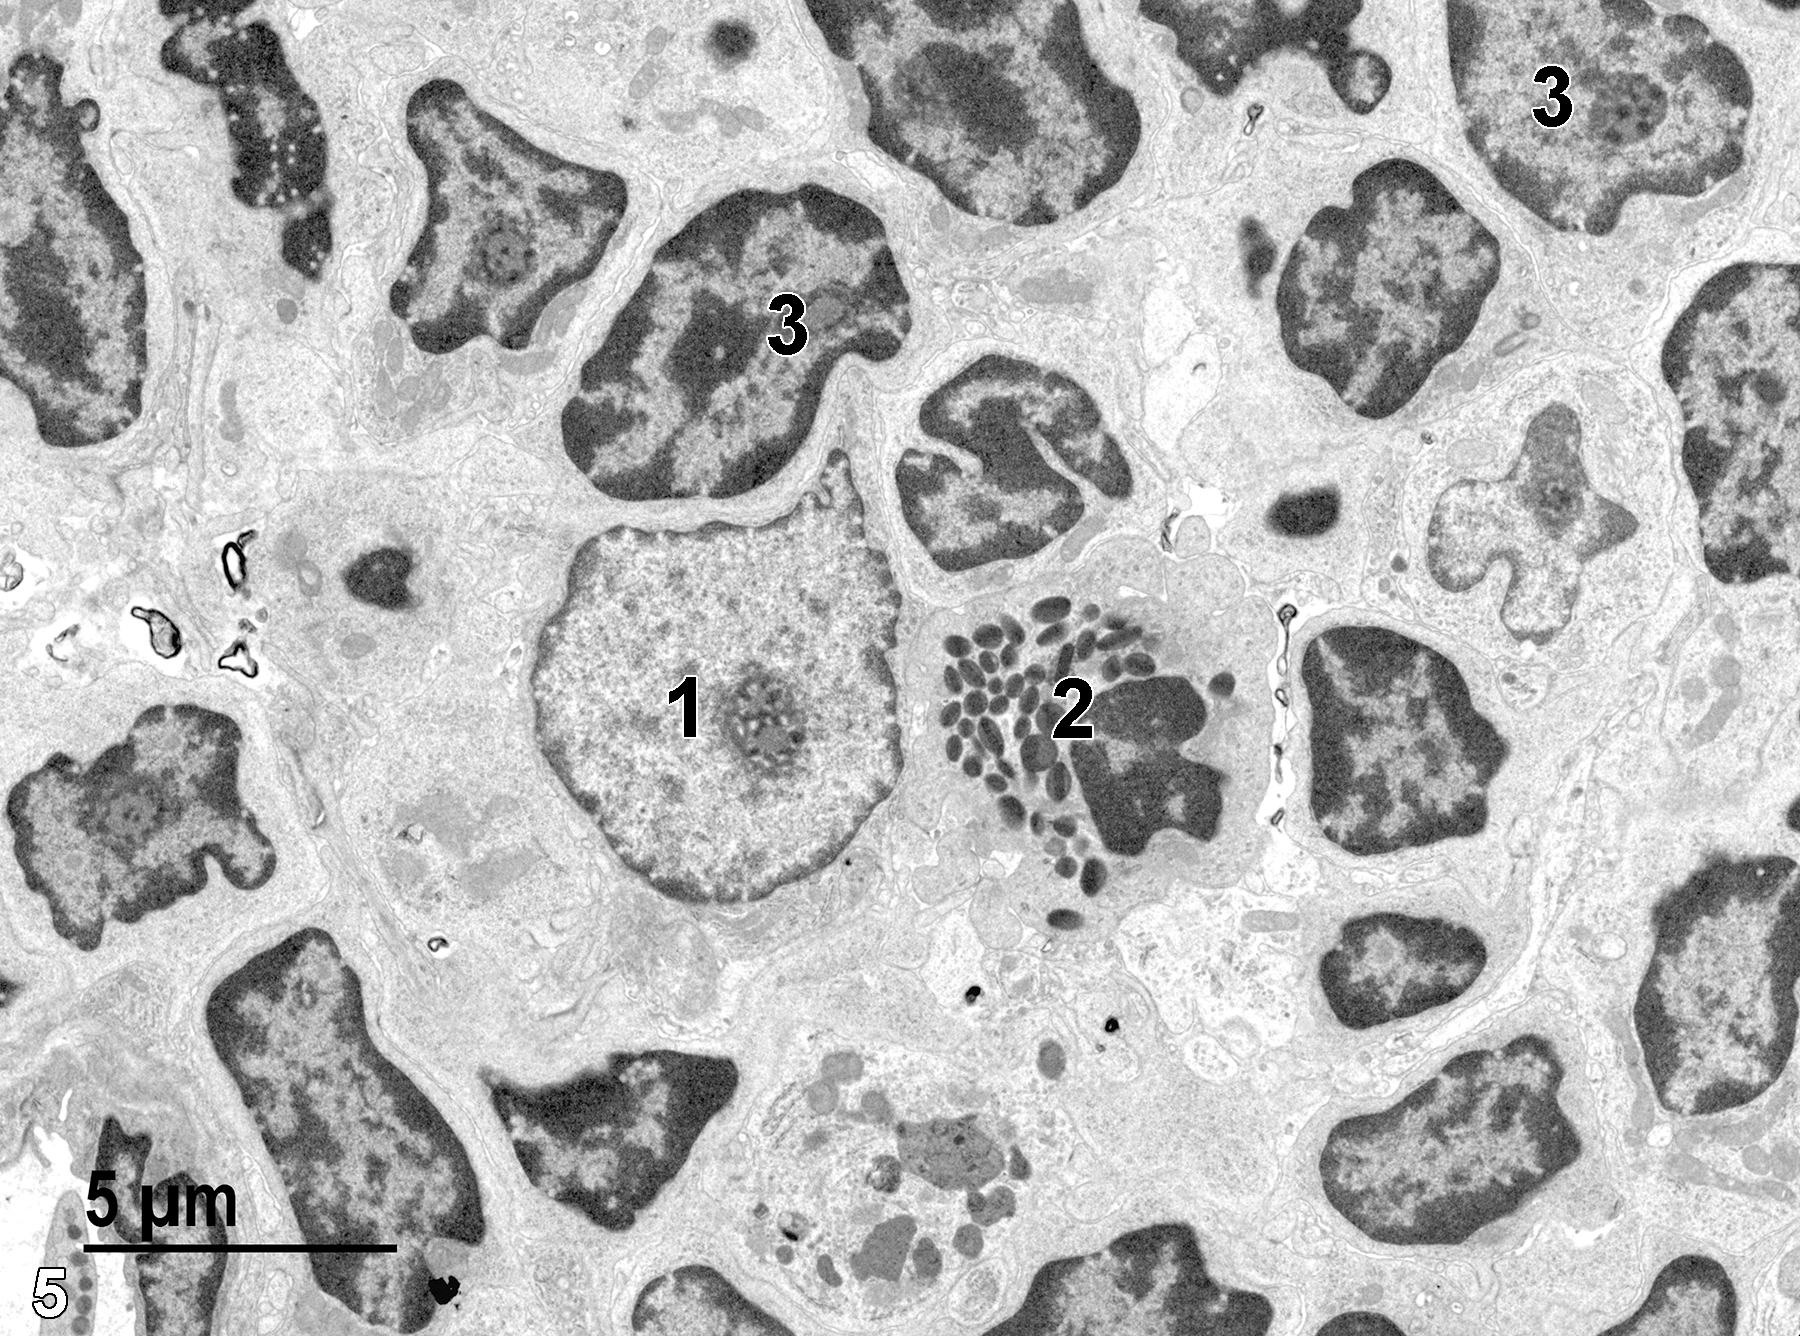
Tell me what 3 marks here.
Lymphocytes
